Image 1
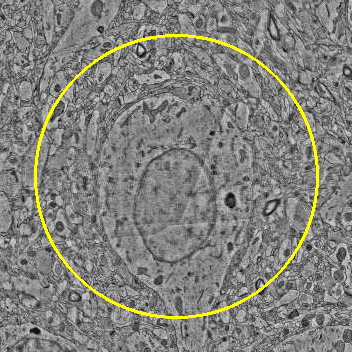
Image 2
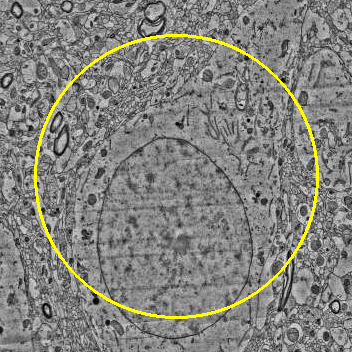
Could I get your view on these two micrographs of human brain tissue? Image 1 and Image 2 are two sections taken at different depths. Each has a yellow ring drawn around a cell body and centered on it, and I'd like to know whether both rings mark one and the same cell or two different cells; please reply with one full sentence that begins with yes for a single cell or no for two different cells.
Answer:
No, the two rings were placed on two different cells.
